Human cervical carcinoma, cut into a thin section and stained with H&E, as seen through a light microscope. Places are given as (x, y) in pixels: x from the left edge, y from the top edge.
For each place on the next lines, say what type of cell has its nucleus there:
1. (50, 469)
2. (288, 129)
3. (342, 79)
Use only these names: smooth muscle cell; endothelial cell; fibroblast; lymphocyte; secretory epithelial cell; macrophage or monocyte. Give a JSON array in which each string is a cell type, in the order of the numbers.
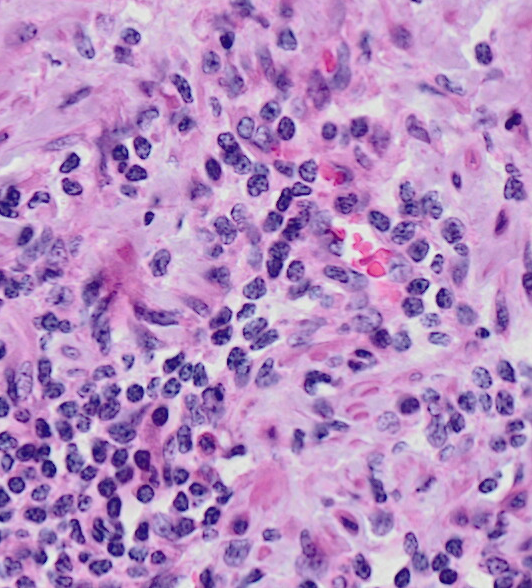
["lymphocyte", "lymphocyte", "endothelial cell"]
